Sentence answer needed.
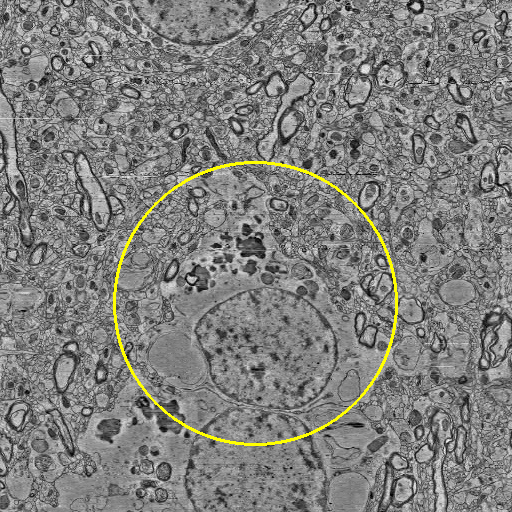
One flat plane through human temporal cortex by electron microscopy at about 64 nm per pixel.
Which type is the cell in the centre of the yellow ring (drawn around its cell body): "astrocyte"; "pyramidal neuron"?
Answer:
In the centre of the yellow ring is an astrocyte.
